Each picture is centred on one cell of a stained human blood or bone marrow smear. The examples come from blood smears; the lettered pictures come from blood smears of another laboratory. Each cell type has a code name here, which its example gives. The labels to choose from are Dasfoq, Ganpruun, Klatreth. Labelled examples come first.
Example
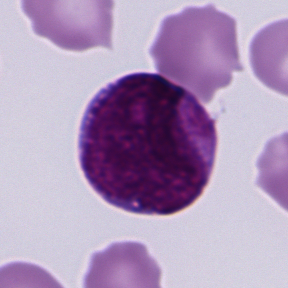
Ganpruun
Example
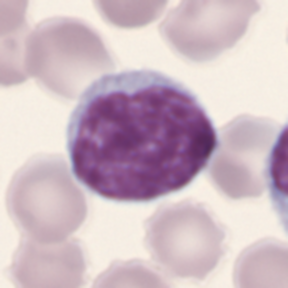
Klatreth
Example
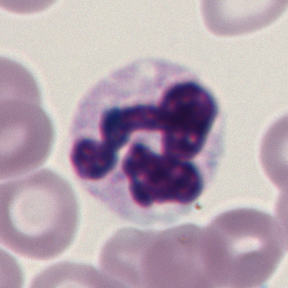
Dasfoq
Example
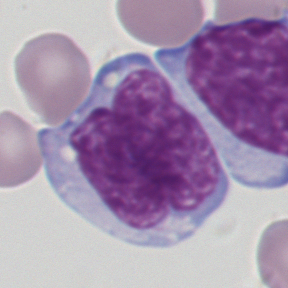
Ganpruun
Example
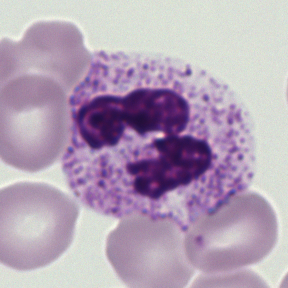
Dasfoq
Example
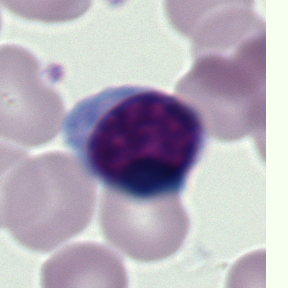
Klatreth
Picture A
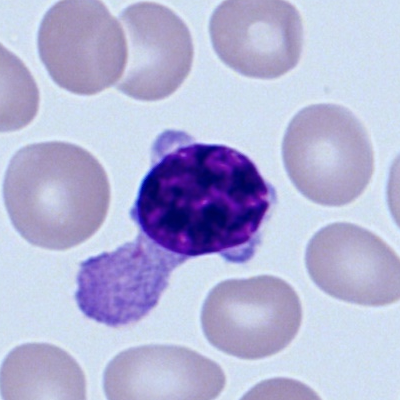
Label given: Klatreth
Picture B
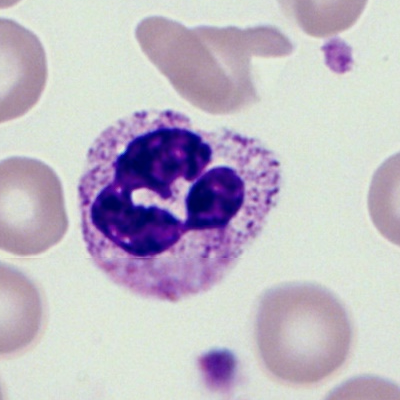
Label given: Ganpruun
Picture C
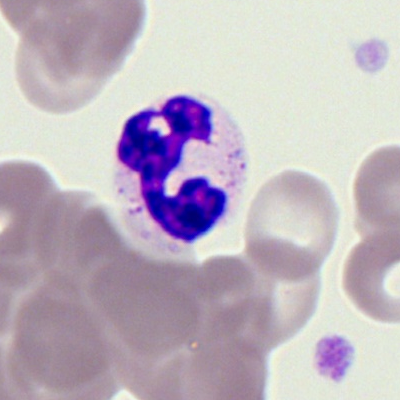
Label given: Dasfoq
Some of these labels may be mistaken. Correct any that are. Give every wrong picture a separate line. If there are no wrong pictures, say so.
Wrong: B (Ganpruun); correct: Dasfoq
